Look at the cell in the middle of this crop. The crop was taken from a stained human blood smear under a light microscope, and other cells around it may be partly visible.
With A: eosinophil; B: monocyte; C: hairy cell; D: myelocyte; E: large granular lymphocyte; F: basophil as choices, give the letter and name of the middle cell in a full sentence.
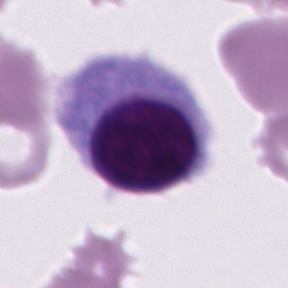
The cell placed in the middle is a hairy cell; option C is correct.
